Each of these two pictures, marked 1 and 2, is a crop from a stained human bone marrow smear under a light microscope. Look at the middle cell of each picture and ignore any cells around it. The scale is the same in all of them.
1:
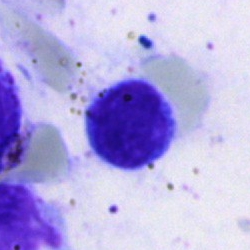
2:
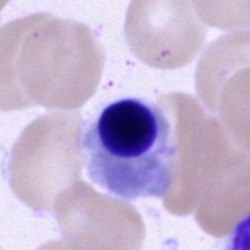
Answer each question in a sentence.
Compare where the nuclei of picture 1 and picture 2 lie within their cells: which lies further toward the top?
In picture 2 the nucleus is shifted more toward the top.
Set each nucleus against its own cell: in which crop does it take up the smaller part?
In picture 2 the nucleus takes up the smaller part of its cell.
